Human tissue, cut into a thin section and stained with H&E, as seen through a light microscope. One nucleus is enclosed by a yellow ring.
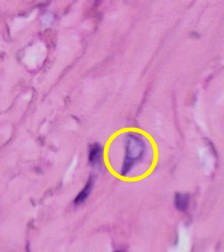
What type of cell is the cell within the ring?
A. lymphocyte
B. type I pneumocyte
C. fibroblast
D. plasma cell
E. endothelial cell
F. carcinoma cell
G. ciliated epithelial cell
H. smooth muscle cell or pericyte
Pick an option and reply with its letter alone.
C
